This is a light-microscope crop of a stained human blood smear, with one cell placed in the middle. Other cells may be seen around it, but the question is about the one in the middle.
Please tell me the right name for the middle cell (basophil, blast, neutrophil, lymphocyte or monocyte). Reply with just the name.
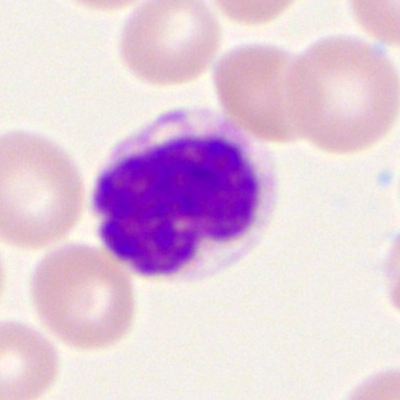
basophil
